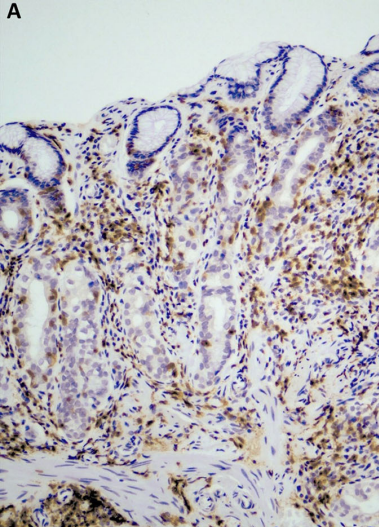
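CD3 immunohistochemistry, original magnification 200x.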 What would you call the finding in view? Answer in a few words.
Atrophic oxyntic mucosa.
